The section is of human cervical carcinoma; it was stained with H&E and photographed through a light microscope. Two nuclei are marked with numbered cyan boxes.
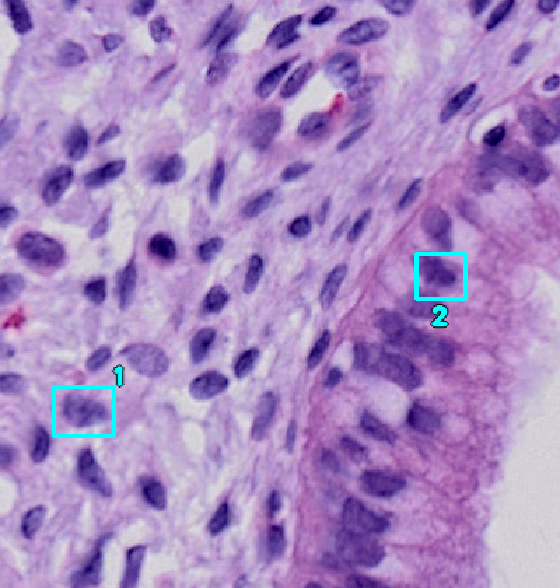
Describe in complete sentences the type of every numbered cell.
Cell 1 is a fibroblast. Cell 2 is a secretory epithelial cell.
